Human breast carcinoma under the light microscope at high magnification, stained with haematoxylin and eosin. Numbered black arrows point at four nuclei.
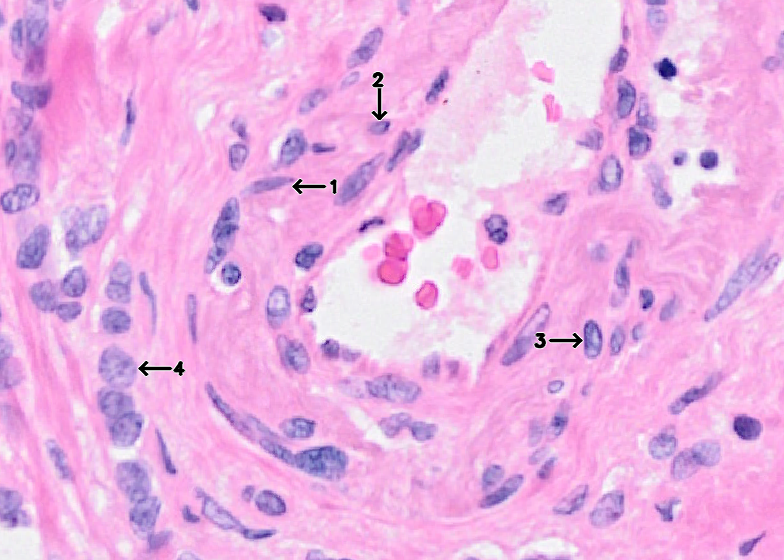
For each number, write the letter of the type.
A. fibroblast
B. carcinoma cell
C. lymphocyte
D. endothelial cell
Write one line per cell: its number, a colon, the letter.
1: D
2: D
3: D
4: B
